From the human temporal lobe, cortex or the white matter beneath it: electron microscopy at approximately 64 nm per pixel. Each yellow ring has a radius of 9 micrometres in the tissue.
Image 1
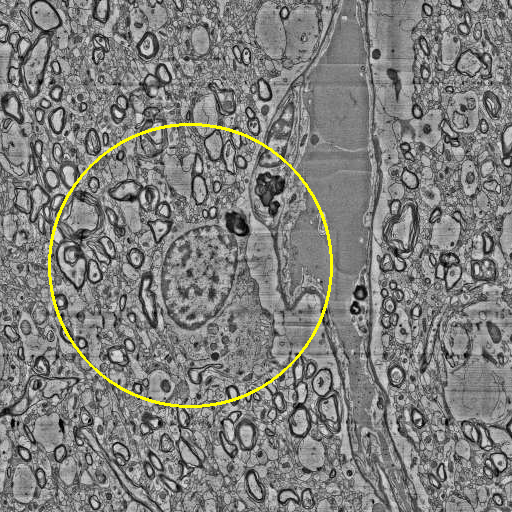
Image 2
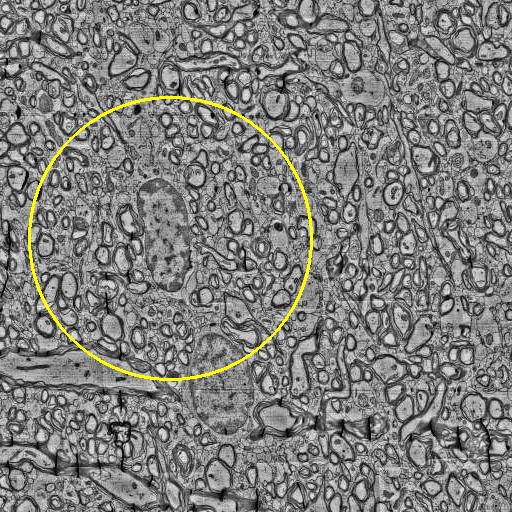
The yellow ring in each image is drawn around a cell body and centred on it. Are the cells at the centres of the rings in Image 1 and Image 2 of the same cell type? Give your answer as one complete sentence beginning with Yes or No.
No, the two cells are of two separate types.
